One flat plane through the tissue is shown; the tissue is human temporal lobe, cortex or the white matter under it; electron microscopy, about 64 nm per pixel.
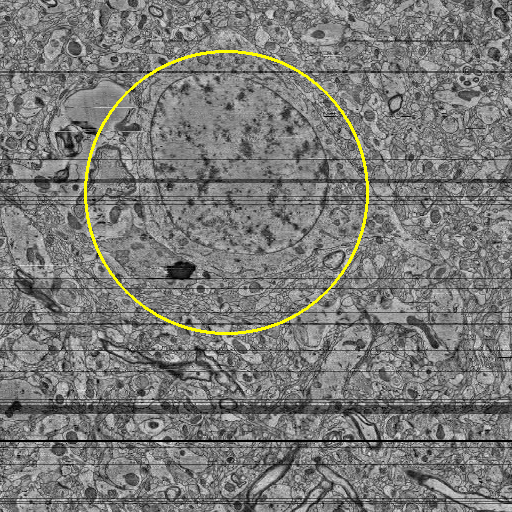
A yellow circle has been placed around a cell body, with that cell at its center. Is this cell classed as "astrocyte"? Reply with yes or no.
No, it belongs to another class.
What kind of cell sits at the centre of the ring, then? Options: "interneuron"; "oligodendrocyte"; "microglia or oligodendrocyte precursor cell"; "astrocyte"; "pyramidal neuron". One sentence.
Instead, the picture shows a pyramidal neuron at the centre of the ring.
